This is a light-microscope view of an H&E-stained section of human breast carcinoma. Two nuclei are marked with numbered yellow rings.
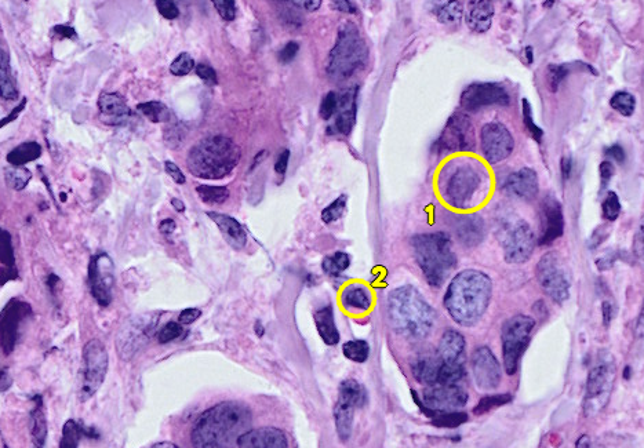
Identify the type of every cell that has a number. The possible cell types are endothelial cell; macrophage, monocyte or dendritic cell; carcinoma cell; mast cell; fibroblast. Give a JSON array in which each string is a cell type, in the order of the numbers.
["carcinoma cell", "endothelial cell"]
